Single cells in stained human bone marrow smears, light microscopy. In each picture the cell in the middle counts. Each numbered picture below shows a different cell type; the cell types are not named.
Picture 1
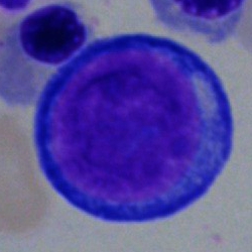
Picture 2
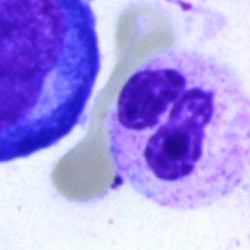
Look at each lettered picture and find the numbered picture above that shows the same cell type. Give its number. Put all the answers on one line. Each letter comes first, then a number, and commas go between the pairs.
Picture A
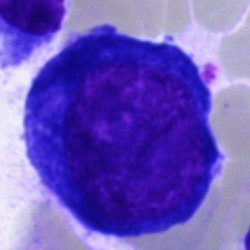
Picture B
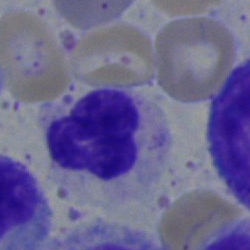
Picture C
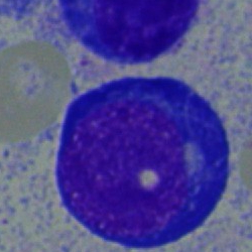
A 1, B 2, C 1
